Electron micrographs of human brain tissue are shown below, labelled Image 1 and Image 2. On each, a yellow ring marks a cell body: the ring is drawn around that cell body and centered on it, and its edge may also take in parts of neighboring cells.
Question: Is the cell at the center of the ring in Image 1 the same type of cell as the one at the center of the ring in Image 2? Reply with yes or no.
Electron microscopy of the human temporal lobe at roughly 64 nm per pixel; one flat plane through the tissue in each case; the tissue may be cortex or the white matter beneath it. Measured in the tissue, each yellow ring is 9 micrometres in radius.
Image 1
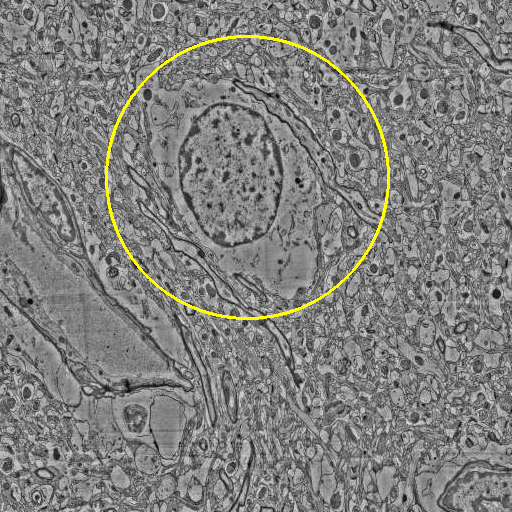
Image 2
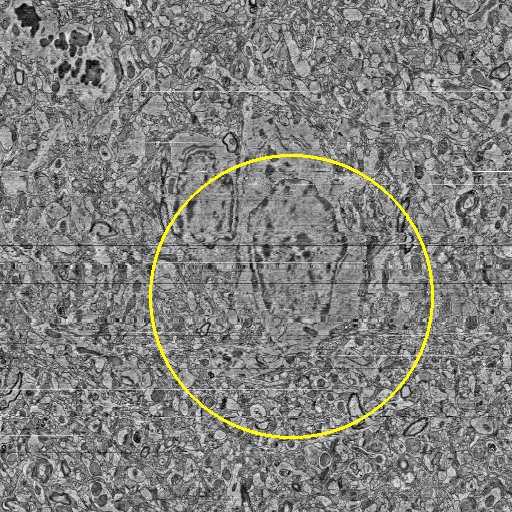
yes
